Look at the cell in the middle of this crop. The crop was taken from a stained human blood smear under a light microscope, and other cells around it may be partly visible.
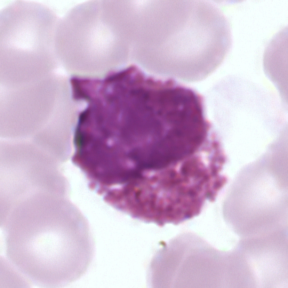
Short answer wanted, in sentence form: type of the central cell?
The cell centred in this crop is categorized as an eosinophil.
